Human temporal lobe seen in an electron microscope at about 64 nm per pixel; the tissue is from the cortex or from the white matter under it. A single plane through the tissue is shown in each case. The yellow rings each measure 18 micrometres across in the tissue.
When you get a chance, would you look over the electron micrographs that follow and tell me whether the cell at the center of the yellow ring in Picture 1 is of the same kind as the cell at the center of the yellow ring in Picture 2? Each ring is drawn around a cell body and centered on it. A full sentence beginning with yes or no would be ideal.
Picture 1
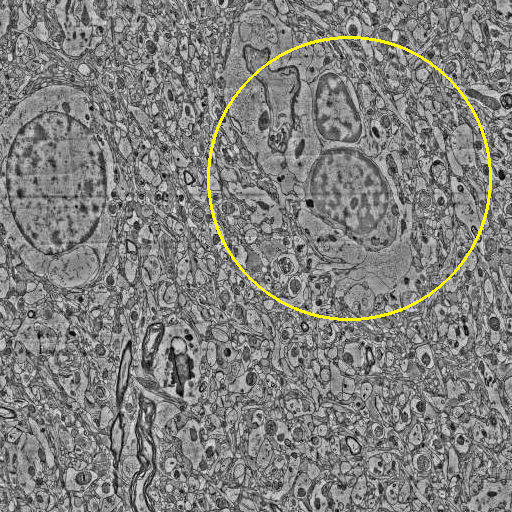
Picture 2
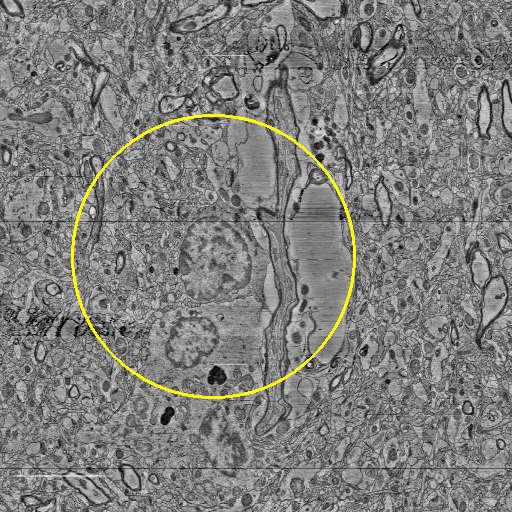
Yes, the two cells are of the same kind.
